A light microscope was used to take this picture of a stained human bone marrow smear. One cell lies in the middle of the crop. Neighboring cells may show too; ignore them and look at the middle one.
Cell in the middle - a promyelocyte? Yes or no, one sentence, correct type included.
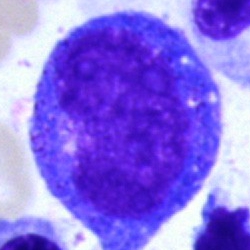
Yes, the cell in the middle of this smear crop is a promyelocyte.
